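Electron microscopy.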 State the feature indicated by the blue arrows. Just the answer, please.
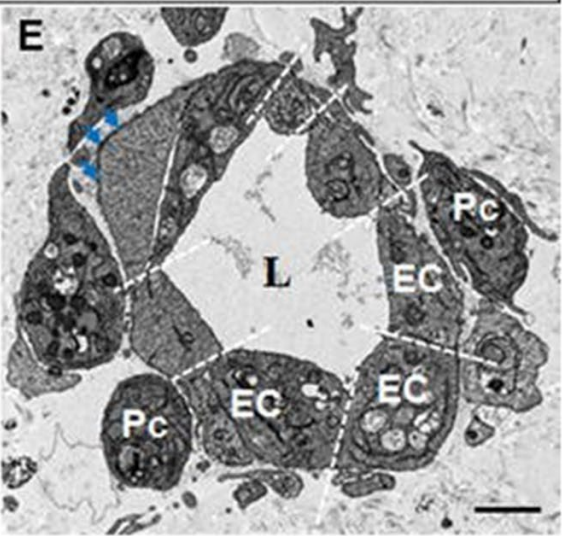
basement membrane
